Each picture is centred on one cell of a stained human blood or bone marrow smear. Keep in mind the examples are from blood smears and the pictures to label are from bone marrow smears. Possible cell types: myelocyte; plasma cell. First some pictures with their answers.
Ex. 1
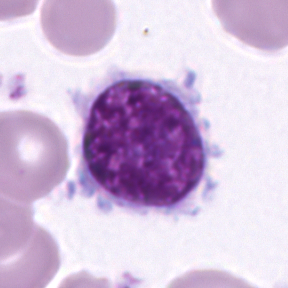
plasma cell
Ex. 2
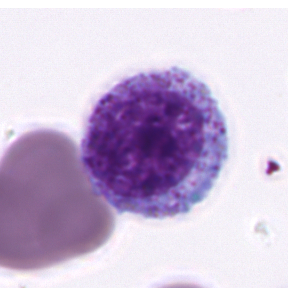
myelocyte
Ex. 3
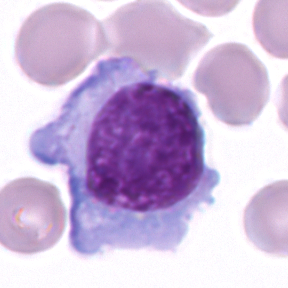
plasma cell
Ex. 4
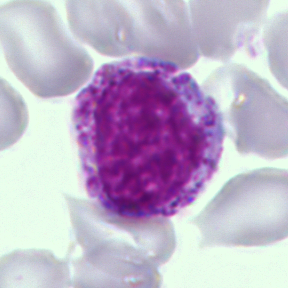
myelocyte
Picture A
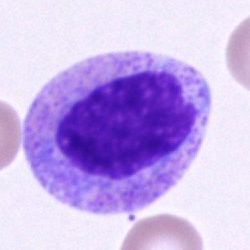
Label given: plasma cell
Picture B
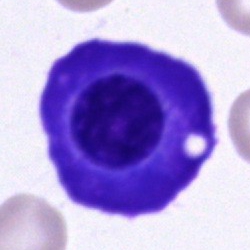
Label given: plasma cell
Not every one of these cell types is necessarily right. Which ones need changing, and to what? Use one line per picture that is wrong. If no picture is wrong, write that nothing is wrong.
A should be myelocyte, not plasma cell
